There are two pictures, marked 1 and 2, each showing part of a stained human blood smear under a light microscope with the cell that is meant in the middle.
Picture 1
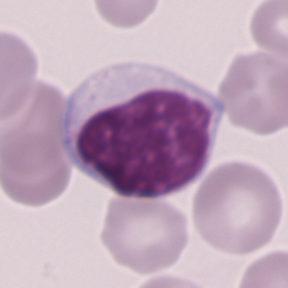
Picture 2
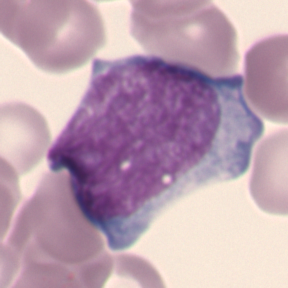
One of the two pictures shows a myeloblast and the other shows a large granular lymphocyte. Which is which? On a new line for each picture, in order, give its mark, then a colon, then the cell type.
1: large granular lymphocyte
2: myeloblast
